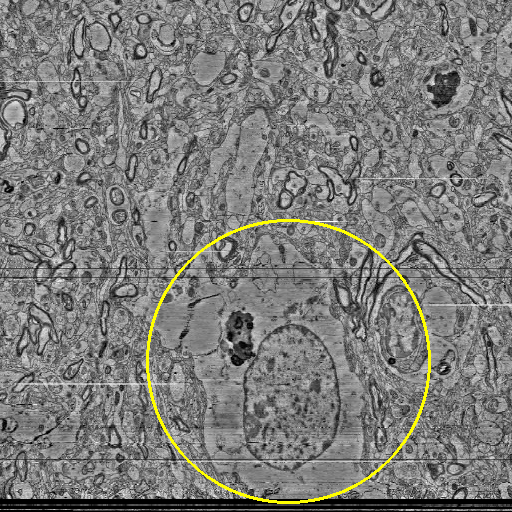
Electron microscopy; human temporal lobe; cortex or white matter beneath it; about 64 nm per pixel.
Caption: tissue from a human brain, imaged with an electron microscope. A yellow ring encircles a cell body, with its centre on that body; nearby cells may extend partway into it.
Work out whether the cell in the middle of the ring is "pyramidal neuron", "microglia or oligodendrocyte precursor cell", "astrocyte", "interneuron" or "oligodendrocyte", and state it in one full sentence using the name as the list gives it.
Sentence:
In the picture, the cell that the yellow ring surrounds at its centre is an astrocyte.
